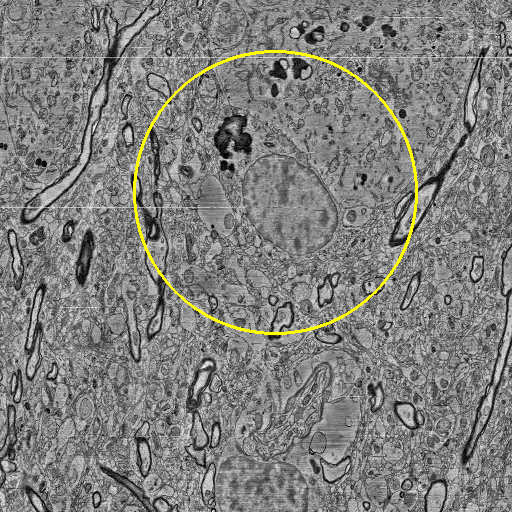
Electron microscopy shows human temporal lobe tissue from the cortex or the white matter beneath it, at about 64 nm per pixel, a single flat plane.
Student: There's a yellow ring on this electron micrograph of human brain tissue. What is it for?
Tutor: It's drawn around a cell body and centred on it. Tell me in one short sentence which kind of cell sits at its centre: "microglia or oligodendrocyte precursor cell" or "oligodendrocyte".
The cell at the centre of the ring is an oligodendrocyte.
